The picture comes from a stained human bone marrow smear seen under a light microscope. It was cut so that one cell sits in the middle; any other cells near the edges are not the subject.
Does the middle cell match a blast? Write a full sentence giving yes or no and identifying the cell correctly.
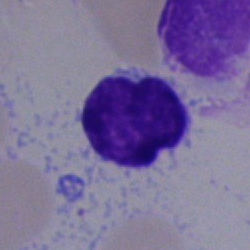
No, instead of a blast, the centred cell represents a lymphocyte.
